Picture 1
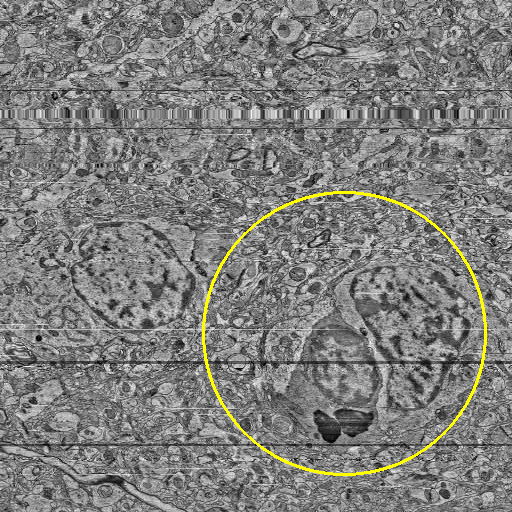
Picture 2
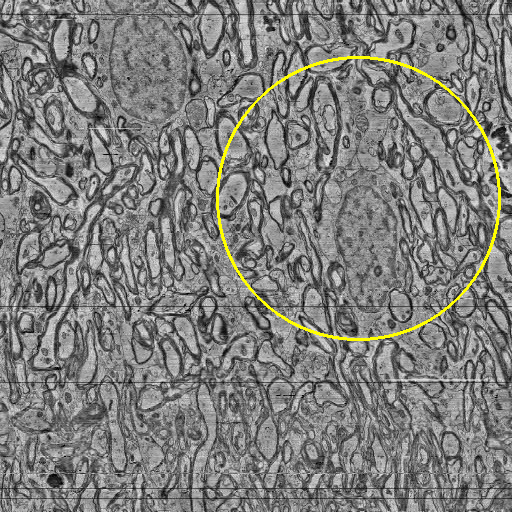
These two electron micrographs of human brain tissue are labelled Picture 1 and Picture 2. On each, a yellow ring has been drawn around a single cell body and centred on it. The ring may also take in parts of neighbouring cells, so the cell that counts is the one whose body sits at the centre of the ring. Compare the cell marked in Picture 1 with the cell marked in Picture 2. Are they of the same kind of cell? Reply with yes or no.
yes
